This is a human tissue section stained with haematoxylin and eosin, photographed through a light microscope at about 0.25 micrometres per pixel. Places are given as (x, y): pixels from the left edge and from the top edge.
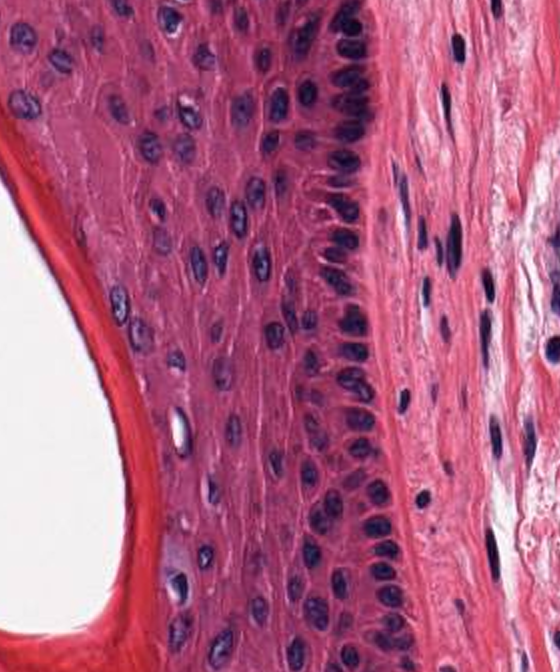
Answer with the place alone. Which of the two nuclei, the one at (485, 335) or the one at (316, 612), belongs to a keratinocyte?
(316, 612)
